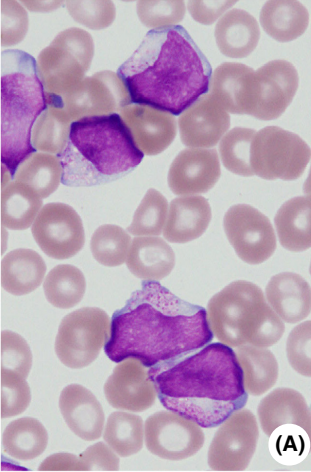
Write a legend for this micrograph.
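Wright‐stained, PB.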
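Several large cells lie among pink red blood cells, each with a big purple nucleus of fine, even chromatin that fills most of the cell. The cells are angular where they press against their neighbours.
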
